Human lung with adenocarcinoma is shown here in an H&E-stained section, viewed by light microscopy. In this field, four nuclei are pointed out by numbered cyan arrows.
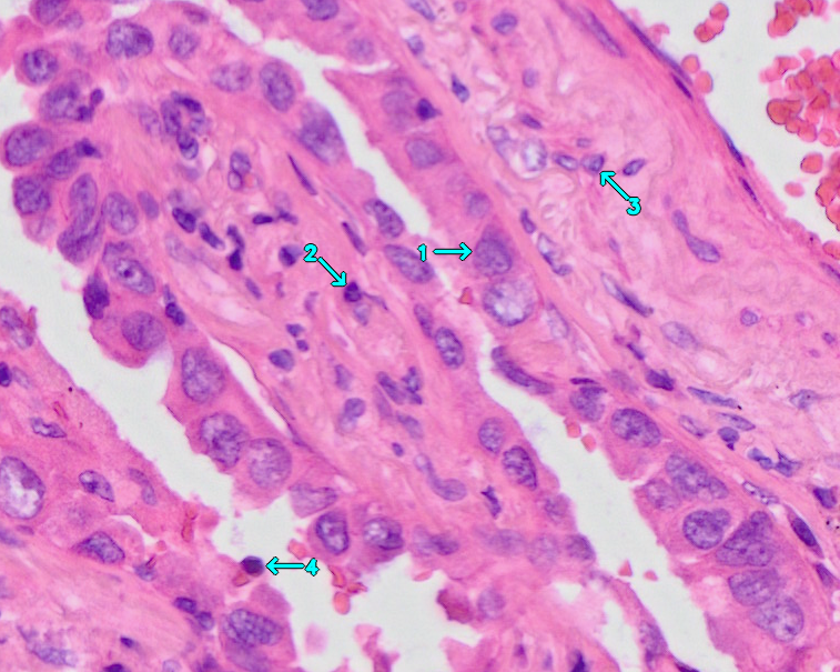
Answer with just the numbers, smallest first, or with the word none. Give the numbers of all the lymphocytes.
4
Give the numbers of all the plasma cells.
2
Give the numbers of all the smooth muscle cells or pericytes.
3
